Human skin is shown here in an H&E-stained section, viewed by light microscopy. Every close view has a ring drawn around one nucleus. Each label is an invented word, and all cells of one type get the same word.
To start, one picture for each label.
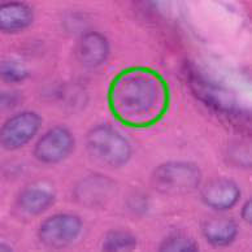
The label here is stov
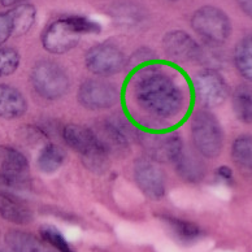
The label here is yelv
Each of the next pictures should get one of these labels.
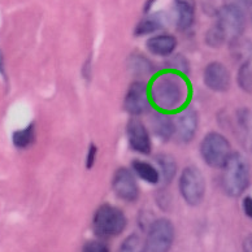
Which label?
yelv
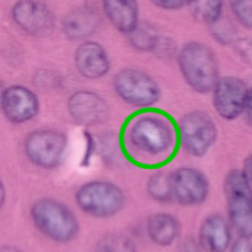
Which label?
stov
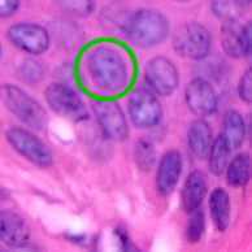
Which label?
stov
